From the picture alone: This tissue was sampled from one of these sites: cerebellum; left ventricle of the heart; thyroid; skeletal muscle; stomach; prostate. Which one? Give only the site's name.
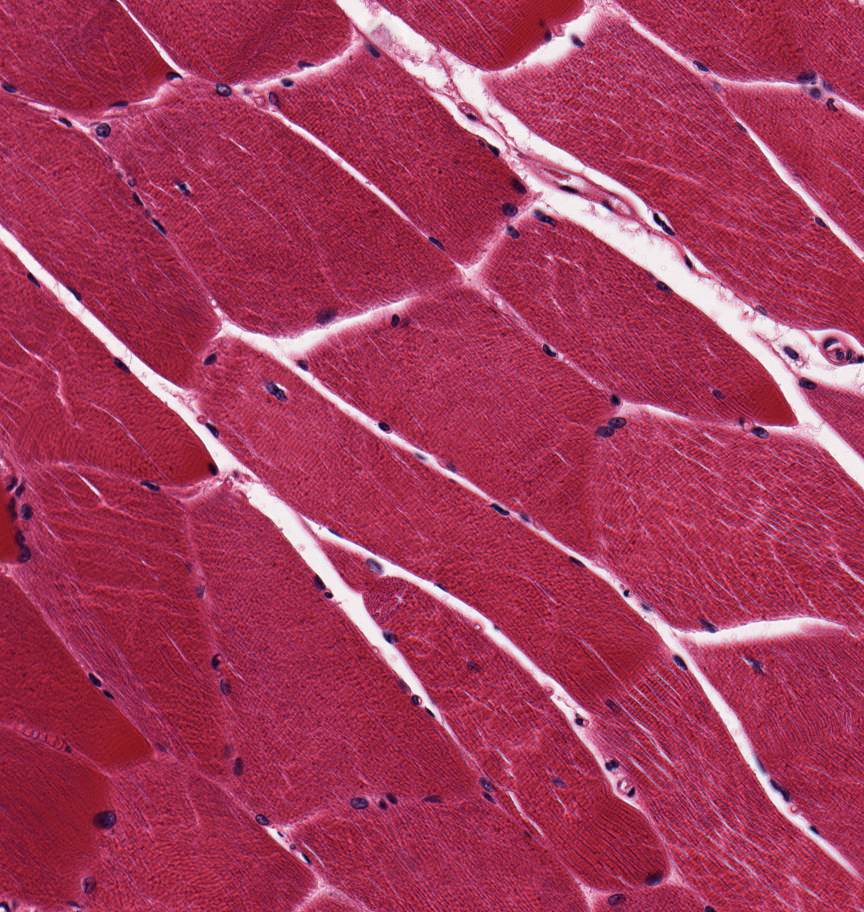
skeletal muscle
